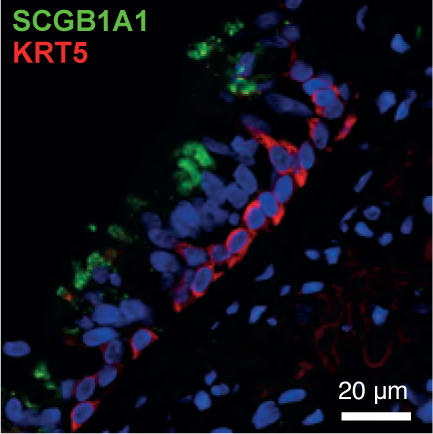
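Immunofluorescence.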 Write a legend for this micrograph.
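A band of cells outlined in red runs along one side of the epithelium, their rounded to oval nuclei tightly packed. Green cytoplasmic staining lies in cells next to this red-outlined band, forming bright clusters toward the other side of the epithelium. The surrounding tissue holds scattered blue nuclei with little color.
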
